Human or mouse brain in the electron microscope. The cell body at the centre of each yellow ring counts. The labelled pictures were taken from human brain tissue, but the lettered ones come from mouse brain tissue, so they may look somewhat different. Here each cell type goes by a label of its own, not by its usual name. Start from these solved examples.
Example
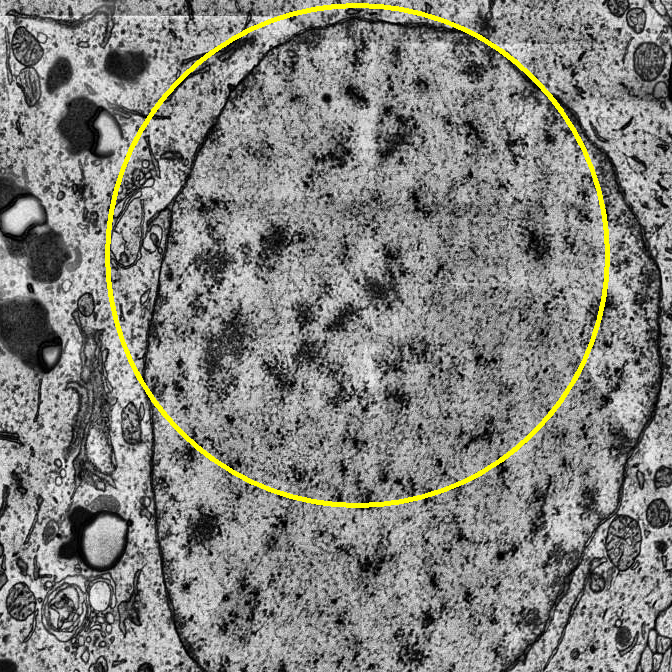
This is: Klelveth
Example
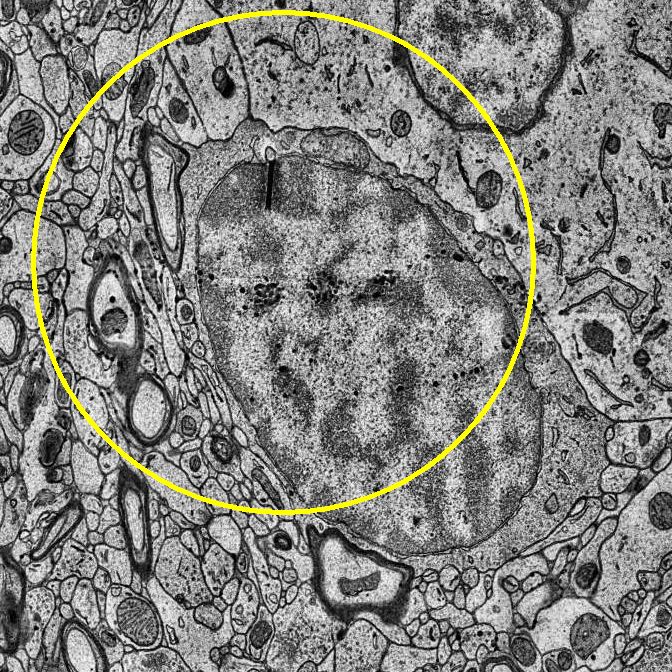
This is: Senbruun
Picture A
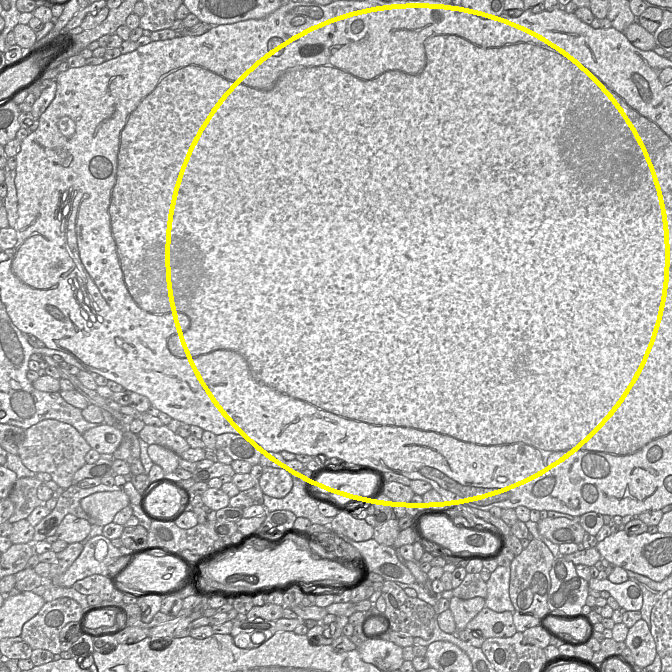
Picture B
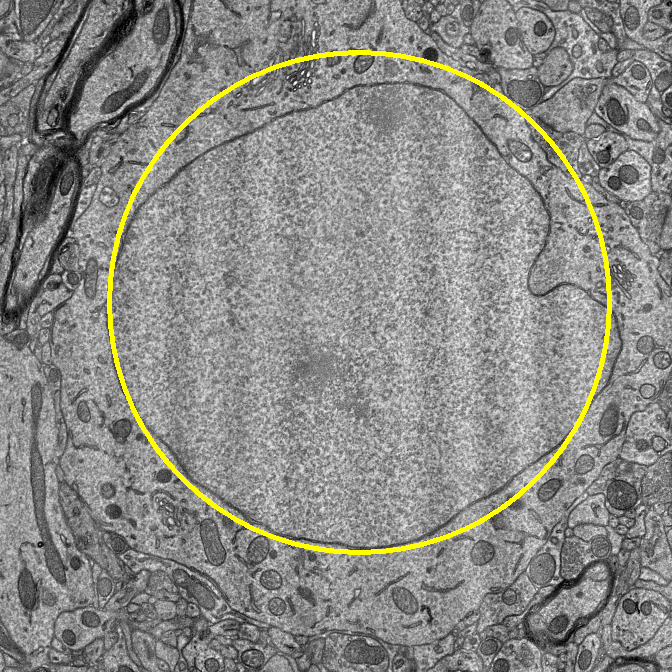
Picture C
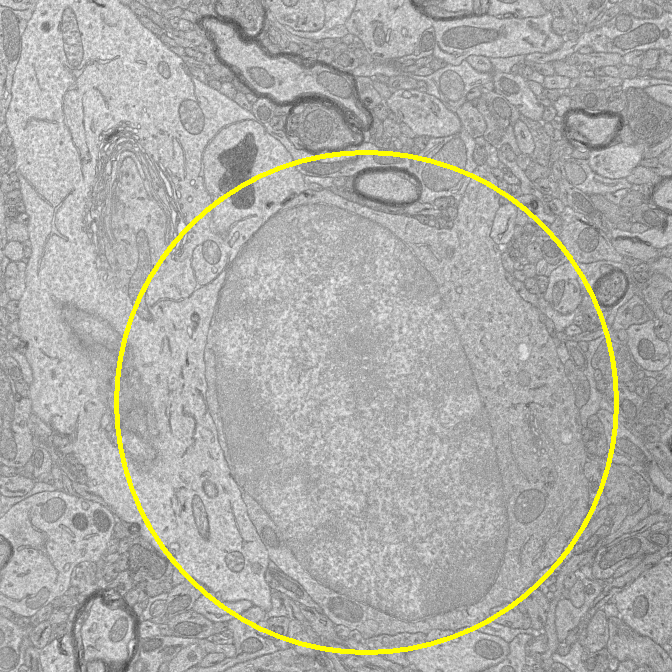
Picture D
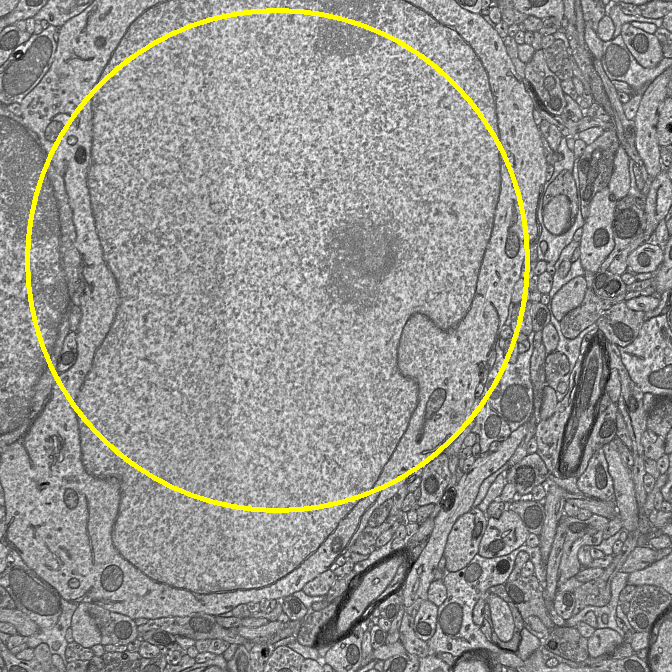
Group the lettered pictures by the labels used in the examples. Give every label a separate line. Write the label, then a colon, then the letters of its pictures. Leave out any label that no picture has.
Klelveth: A, B, D
Senbruun: C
